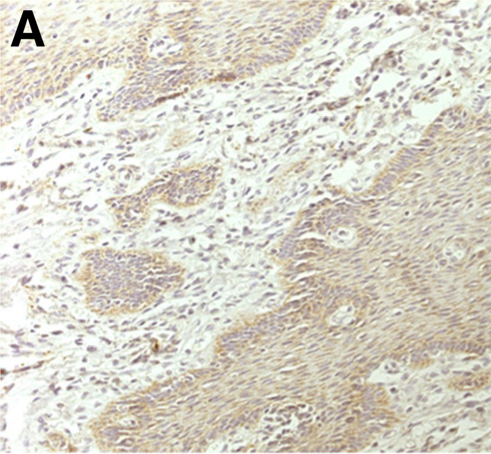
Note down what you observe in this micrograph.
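Squamous carcinoma growing as irregular nests and broad anastomosing bands within a loose, cellular stroma. The tumor cells are polygonal to spindle-shaped, crowded, with oval bluish nuclei. Their cytoplasm is light brown, while nuclei remain blue. Cells at the periphery of the nests are arranged in a palisade. The surrounding stroma holds scattered small, dark nuclei of stromal and inflammatory cells and is largely unstained.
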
